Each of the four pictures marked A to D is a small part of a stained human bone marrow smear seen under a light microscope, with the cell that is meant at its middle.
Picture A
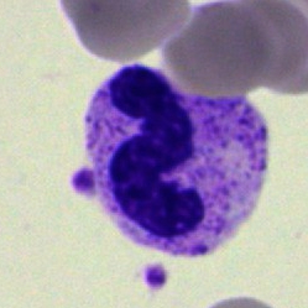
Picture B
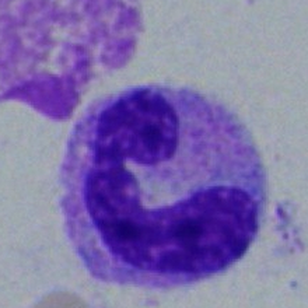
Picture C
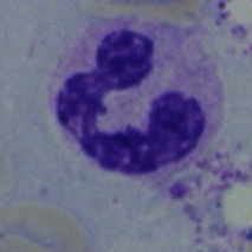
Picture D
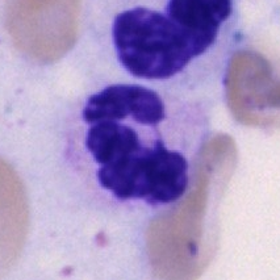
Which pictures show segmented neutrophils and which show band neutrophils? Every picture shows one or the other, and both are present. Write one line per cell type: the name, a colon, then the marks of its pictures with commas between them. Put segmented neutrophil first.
segmented neutrophil: A, C, D
band neutrophil: B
